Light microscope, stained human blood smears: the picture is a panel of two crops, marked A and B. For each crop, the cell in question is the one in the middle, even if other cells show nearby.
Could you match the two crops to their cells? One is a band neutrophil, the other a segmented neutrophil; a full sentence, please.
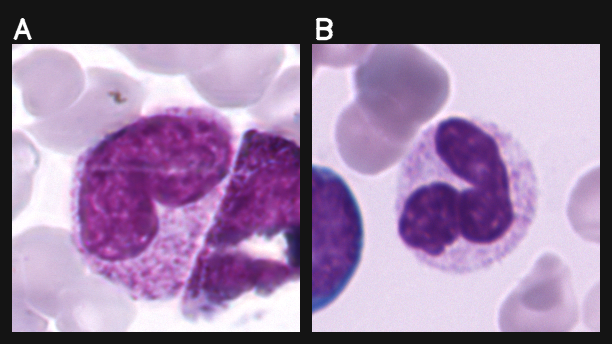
Respectively, crops A and B show a band neutrophil and a segmented neutrophil.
